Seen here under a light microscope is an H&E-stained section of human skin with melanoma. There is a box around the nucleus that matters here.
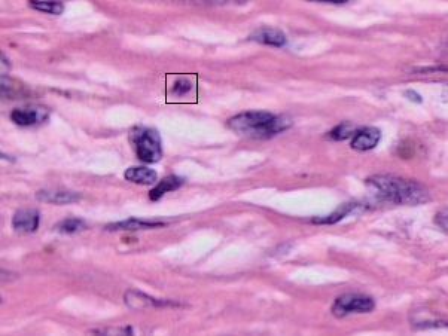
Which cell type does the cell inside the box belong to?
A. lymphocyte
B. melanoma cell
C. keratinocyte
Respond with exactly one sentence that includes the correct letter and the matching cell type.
Option A is the one to take: the cell inside the box is a lymphocyte.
